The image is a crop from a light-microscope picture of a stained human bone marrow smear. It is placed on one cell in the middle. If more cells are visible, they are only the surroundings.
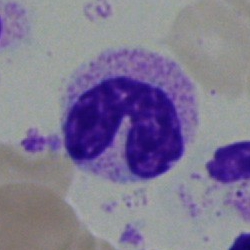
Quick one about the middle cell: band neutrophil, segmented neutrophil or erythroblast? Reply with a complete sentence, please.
This particular crop is centered on a band neutrophil.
